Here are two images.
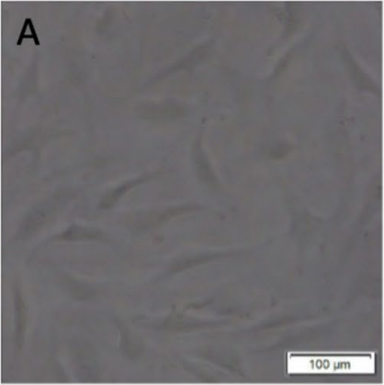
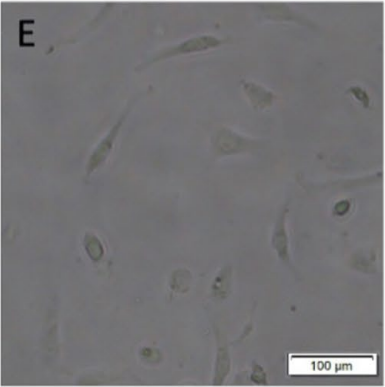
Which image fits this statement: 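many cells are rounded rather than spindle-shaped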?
The second image.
